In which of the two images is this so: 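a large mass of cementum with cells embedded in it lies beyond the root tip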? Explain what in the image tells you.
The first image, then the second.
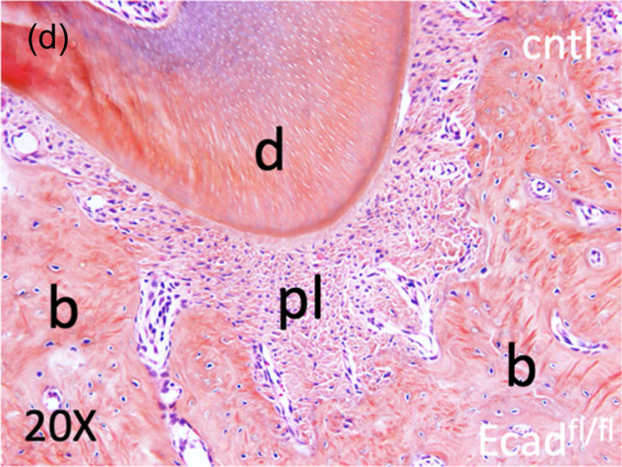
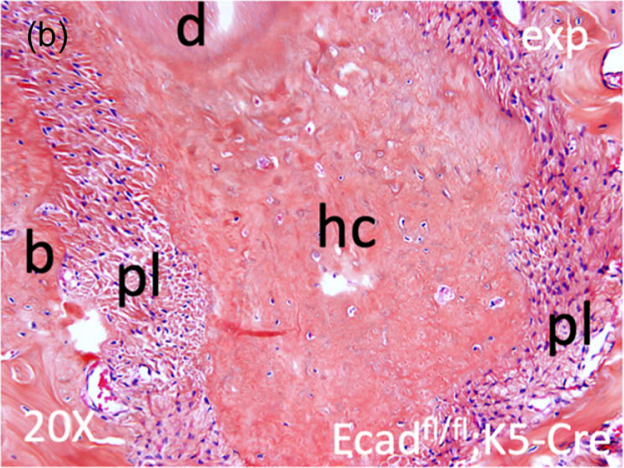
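First image: the rounded root end is bordered directly by loose cellular ligament, with no mass of hard tissue beyond it. Second image: a broad pale-pink mass with scattered cells in small spaces fills the area below the root, flanked by ligament on both sides.
Hence: the second image.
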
